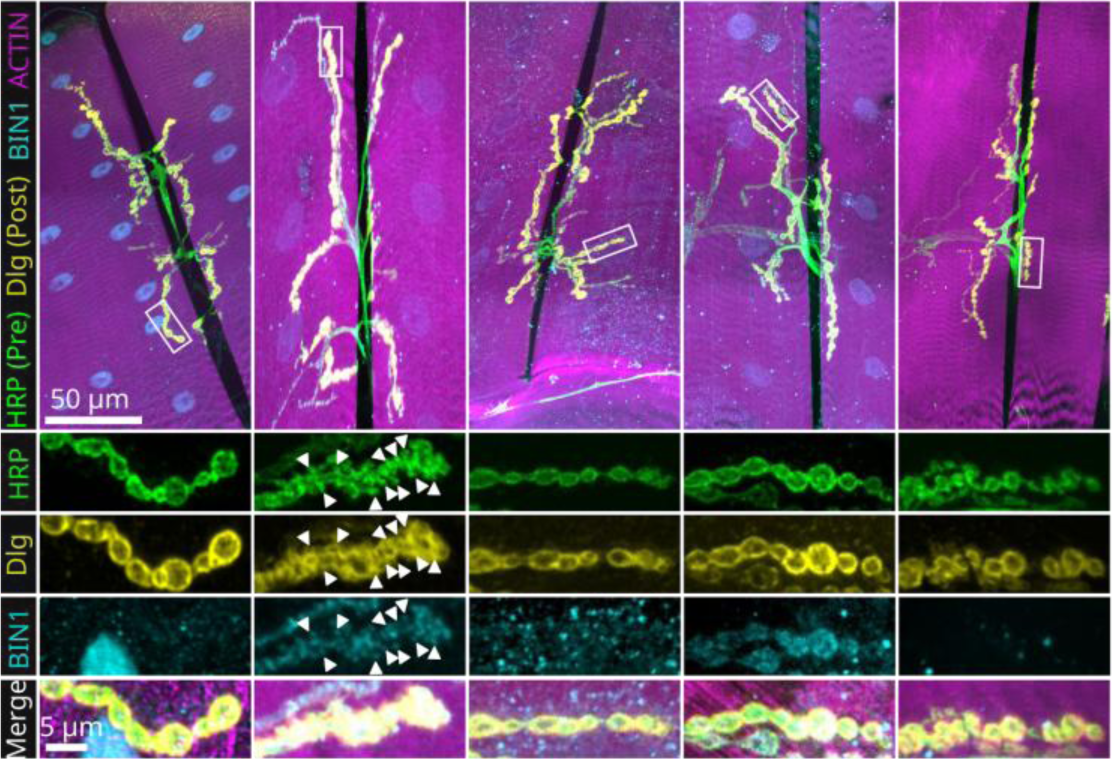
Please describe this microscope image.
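These are motor nerve terminals lying on larval body-wall muscle, shown in five side-by-side views. The magenta background is the muscle fibre, with its faint striations and scattered oval nuclei. A dark band crossing each view is the cleft between two muscles, where the green nerve branches arrive. In the enlarged strips beneath, most chains are neat strings of similar round boutons. In one column, however, the boutons are smaller and crowded, with many tiny side buds marked by arrowheads.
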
